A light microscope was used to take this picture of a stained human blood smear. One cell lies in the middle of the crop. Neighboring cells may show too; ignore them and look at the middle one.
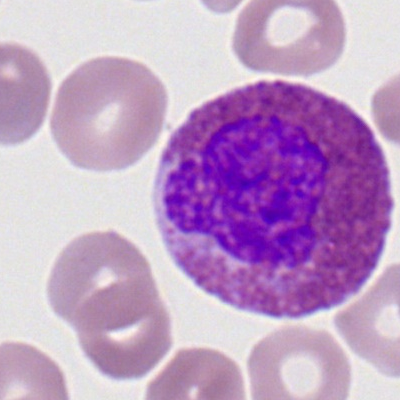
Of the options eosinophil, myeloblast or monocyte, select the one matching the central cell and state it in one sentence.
The single cell at the center of the crop is an eosinophil.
